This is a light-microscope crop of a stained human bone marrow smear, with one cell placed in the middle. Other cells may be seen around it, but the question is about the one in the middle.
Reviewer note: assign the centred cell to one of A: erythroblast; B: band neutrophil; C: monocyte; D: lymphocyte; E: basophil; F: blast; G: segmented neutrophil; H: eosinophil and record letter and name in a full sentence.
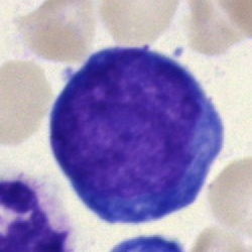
The cell in the middle is a blast, so option F is correct.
